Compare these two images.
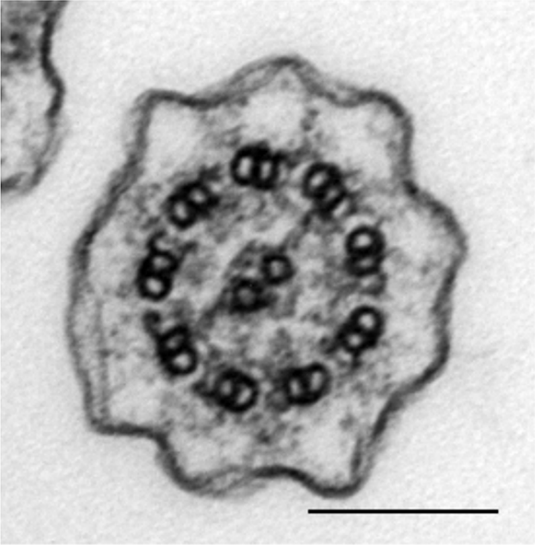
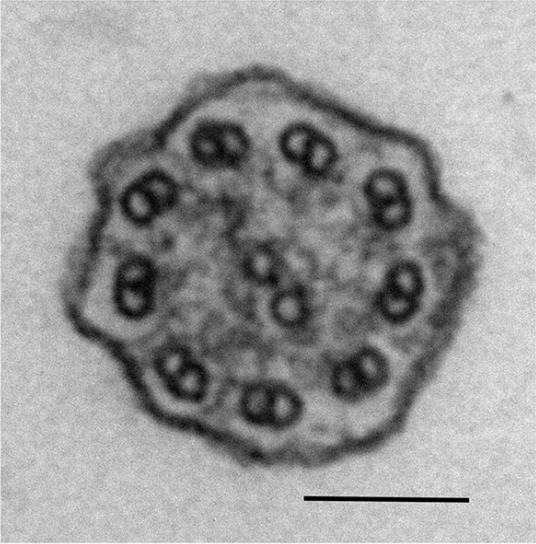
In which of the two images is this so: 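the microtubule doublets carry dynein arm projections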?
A: The first image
